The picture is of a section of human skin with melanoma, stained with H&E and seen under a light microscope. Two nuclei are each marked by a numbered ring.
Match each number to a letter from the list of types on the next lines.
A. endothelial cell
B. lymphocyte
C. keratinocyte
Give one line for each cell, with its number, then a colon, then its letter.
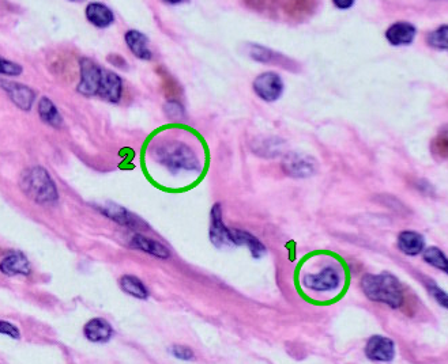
1: B
2: A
